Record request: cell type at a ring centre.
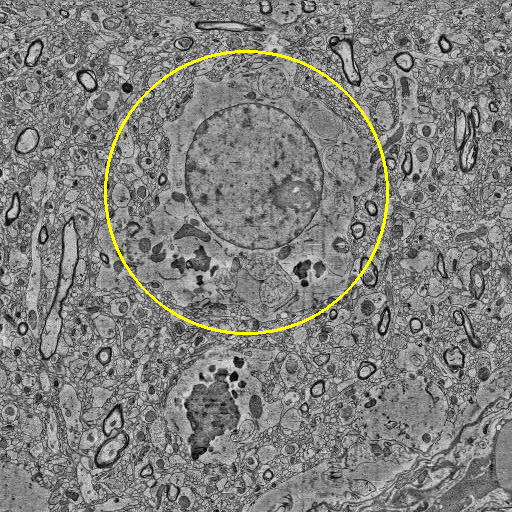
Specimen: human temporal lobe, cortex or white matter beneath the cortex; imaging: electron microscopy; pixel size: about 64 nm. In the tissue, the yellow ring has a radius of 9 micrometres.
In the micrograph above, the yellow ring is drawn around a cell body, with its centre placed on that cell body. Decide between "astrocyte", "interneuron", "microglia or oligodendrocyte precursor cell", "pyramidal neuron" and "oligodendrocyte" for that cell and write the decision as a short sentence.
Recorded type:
The cell centred in the yellow ring is an astrocyte.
